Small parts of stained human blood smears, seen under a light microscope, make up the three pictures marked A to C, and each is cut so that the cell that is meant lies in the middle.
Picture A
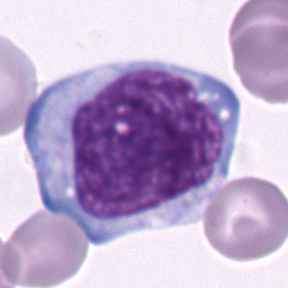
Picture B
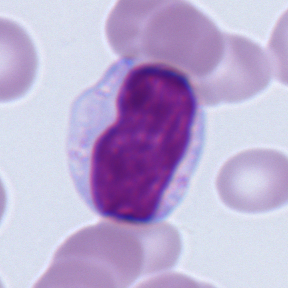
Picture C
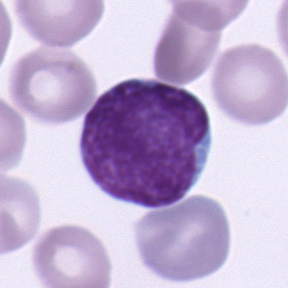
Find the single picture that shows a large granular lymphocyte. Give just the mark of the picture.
B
